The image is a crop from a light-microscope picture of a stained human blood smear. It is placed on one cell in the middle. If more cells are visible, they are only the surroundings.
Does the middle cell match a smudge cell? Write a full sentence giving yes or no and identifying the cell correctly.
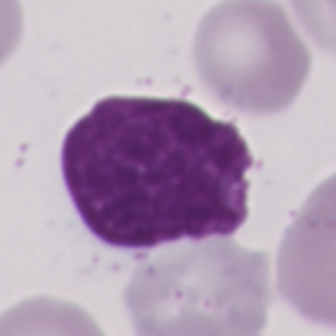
Yes, the cell at the centre of this crop is identified as a smudge cell.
